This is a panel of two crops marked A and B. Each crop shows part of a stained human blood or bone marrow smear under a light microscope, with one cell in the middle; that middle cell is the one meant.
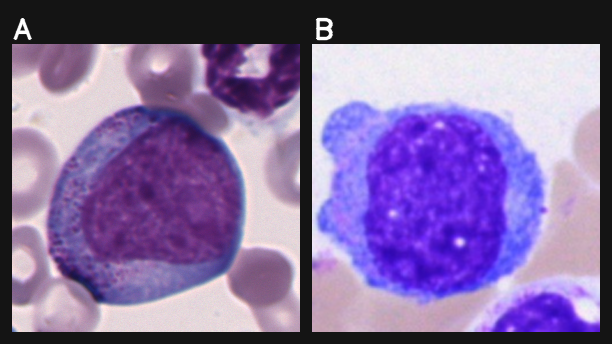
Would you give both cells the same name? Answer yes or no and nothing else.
no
